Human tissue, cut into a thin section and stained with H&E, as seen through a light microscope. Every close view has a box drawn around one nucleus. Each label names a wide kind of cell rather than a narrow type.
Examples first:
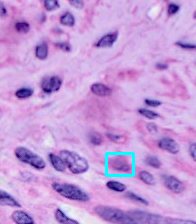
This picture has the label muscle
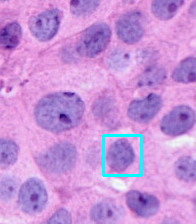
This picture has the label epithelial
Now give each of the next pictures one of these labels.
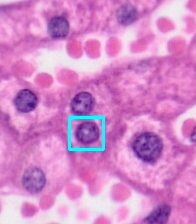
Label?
epithelial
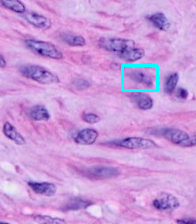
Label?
muscle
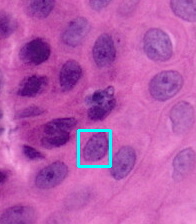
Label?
epithelial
